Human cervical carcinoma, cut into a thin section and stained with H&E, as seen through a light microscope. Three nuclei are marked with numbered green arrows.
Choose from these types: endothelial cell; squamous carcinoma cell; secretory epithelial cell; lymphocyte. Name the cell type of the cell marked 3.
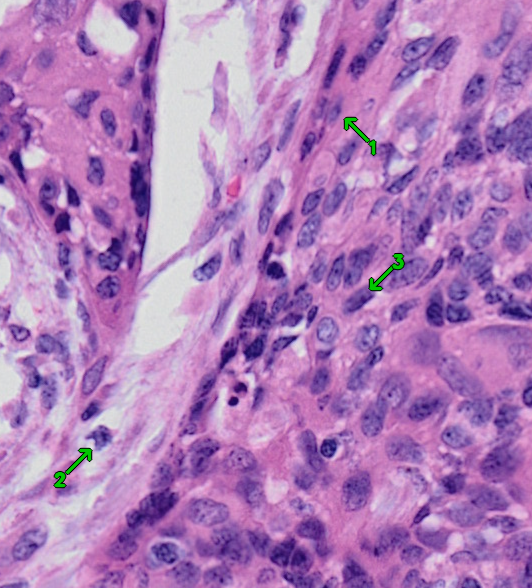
squamous carcinoma cell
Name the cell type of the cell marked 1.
squamous carcinoma cell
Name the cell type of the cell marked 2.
lymphocyte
